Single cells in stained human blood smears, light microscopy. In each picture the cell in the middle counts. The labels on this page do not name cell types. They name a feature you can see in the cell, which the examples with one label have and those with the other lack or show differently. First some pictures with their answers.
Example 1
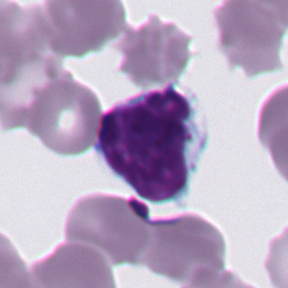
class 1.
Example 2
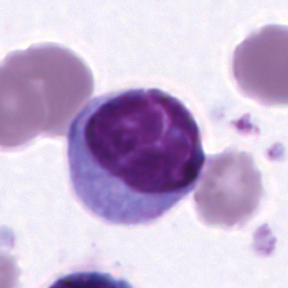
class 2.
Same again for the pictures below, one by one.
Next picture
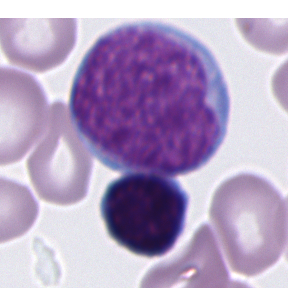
class 2.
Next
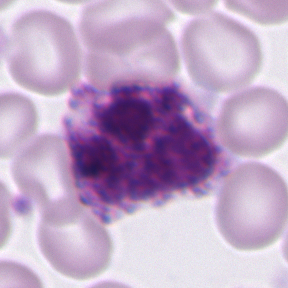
class 1.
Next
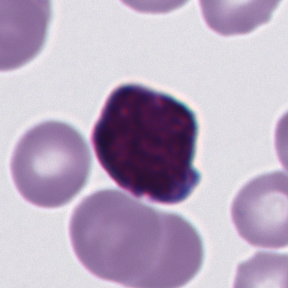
class 1.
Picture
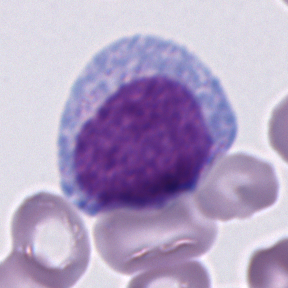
class 2.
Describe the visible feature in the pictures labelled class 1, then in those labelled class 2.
class 1: ragged outline or projections; class 2: smooth outline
